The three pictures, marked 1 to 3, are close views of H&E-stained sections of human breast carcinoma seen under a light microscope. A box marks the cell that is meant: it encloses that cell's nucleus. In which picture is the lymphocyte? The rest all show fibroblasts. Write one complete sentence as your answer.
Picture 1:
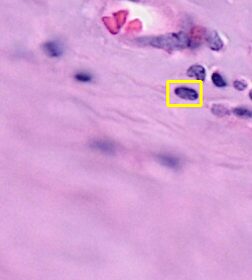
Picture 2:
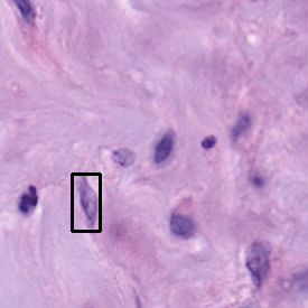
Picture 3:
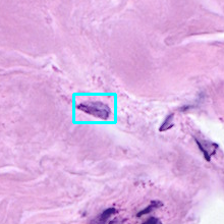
Picture 1 is the one that shows the lymphocyte.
